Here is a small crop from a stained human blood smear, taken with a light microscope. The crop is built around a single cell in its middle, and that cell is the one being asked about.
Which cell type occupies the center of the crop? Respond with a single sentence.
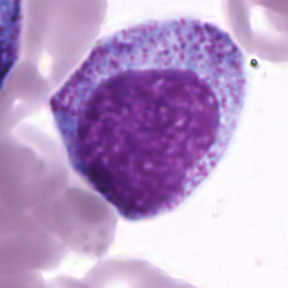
Here the cell in the middle is a promyelocyte.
